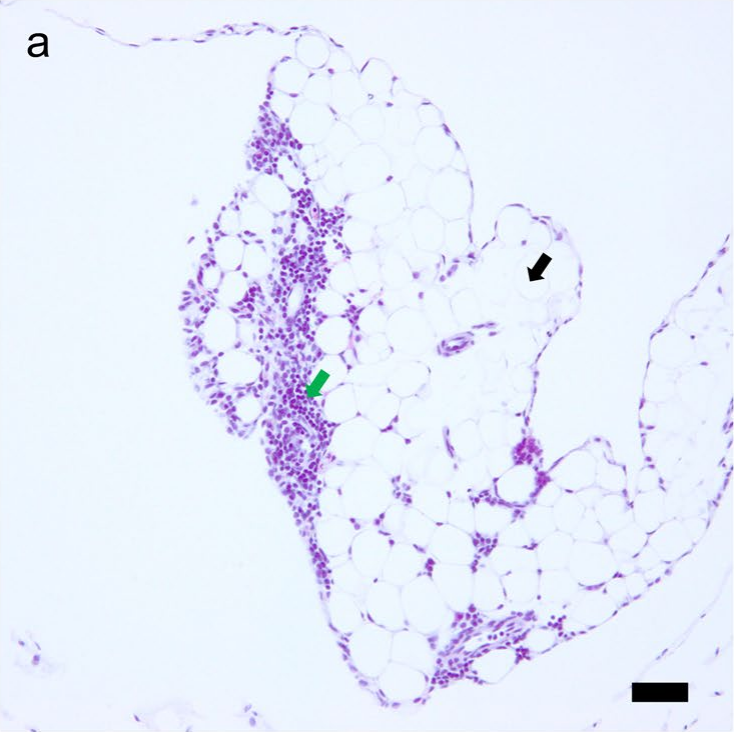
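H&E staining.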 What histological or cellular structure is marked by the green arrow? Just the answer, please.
Milky spots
